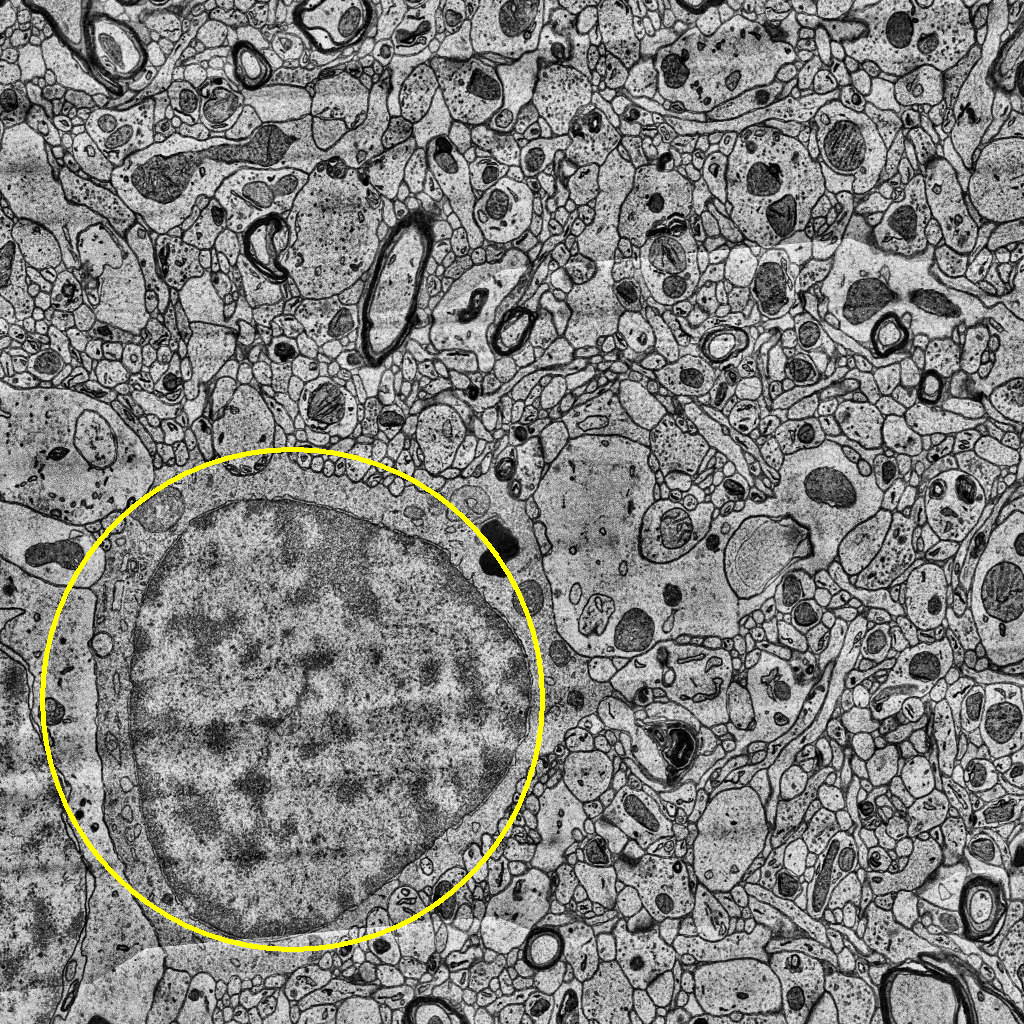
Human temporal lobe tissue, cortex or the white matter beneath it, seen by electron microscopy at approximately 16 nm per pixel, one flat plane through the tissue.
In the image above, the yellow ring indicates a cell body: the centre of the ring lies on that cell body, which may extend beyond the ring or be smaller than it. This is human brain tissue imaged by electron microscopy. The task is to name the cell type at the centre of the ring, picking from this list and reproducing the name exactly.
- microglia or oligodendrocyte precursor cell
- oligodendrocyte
oligodendrocyte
